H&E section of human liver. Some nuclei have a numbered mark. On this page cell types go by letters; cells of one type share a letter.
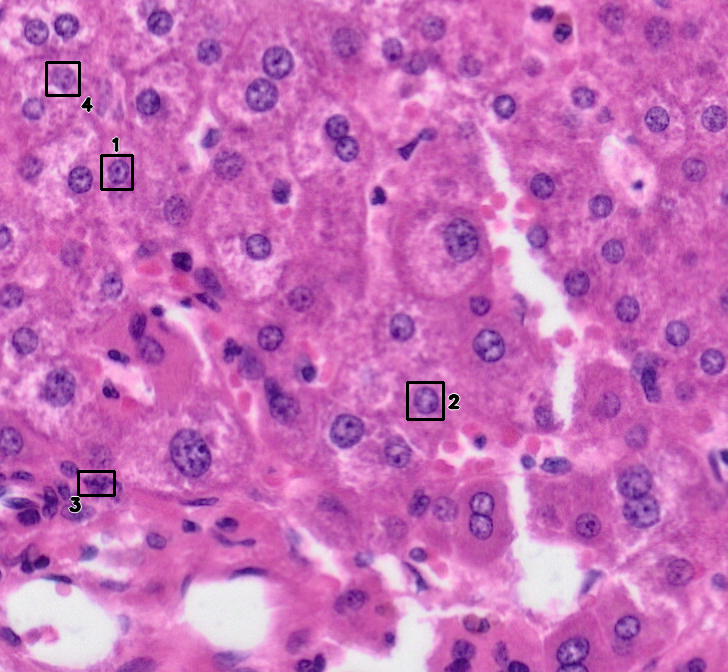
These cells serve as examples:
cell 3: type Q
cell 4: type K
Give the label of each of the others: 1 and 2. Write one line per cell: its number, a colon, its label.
1: type K
2: type K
